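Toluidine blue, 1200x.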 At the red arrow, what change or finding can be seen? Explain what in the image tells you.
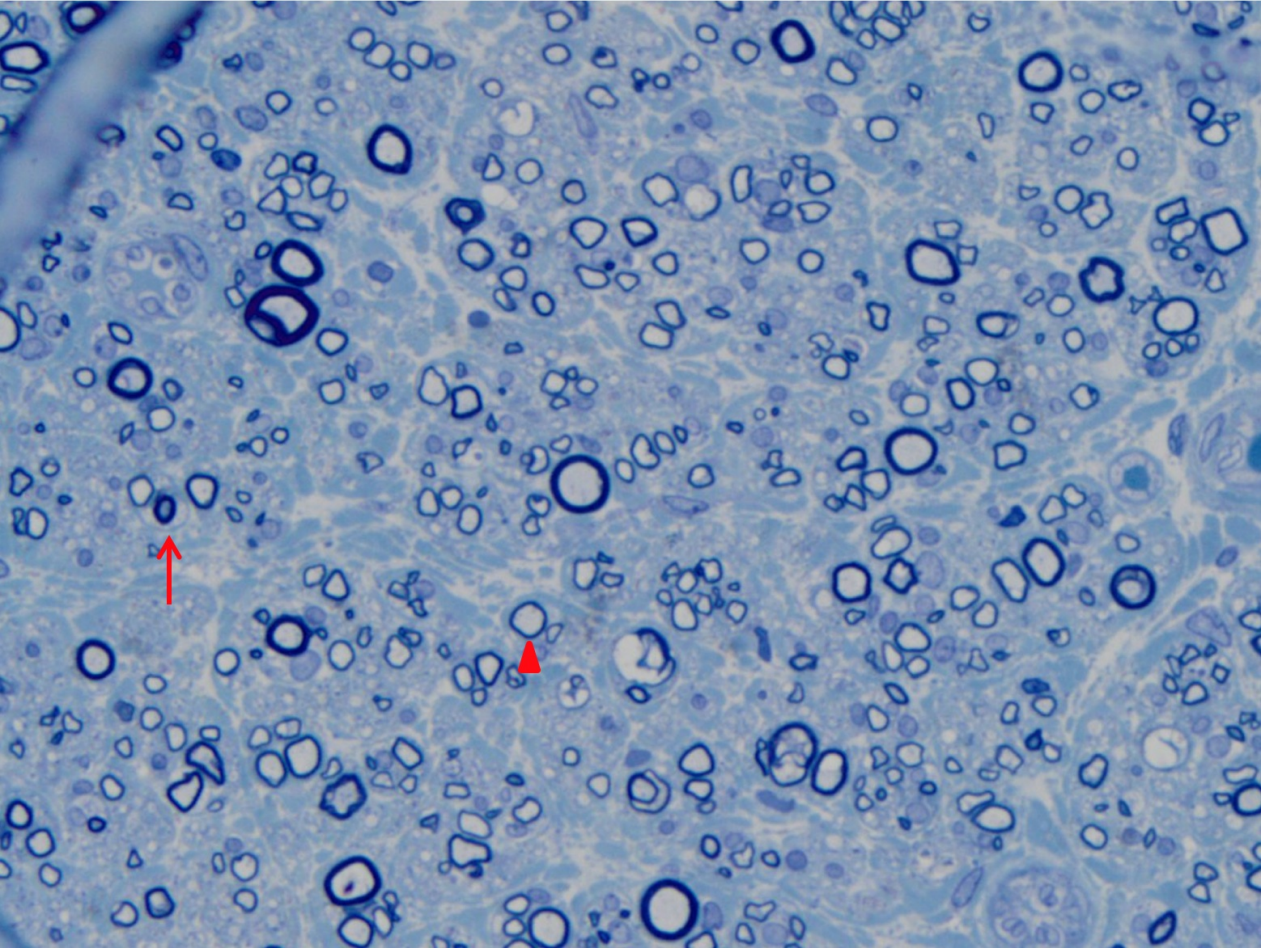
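The fibre at the arrow has a very small pale axon inside a comparatively thick, dark ring. The profile is small and slightly irregular compared with nearby fibres.
Conclusion: axonal atrophy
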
